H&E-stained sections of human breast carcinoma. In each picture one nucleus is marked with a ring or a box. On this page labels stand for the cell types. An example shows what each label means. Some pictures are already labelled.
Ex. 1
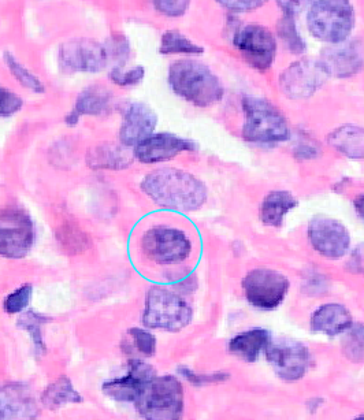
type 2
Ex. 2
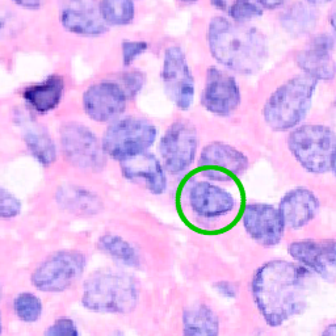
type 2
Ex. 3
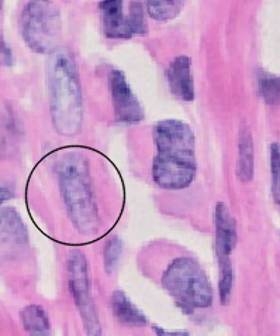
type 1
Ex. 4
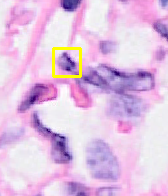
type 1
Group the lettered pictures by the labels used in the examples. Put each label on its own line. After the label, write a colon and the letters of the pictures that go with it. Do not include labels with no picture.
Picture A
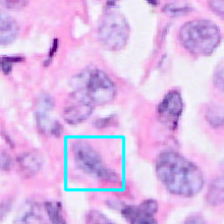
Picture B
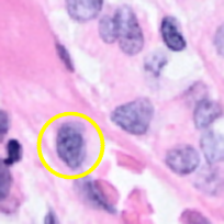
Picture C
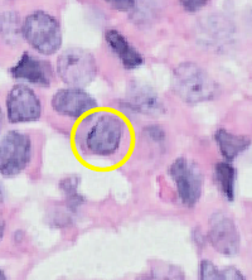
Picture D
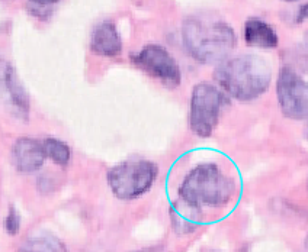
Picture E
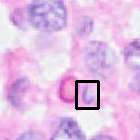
type 2: C, D
type 1: A, B, E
